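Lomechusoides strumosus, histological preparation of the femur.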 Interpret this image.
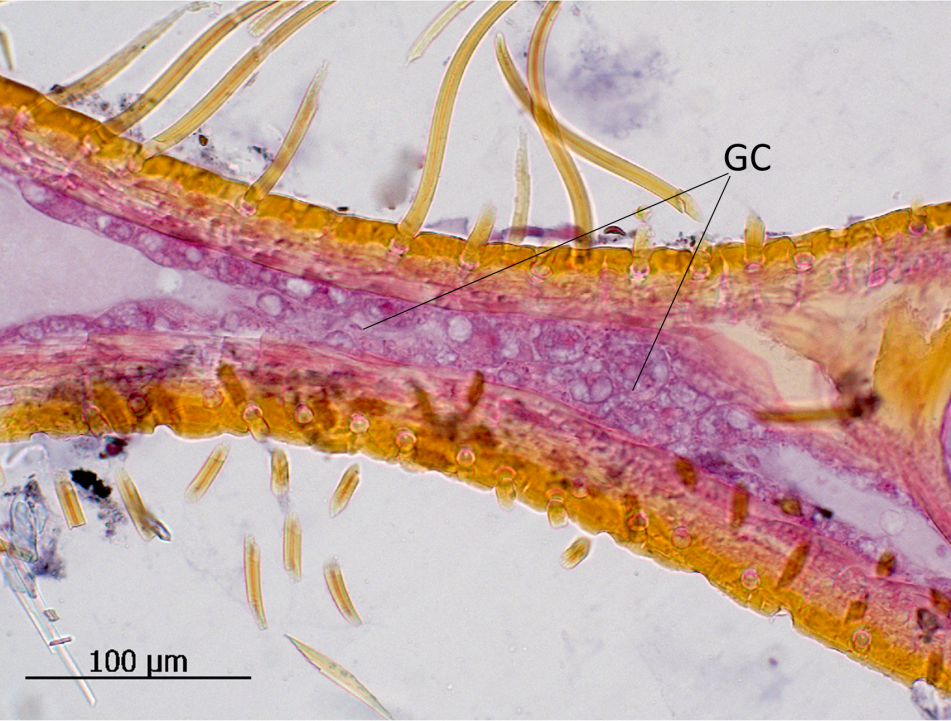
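The cuticle forms two thick orange-yellow bands along the upper and lower edges. Hairs arise from small round sockets on these bands: long curved ones along the upper edge and shorter ones below. Inside the cuticle runs a pink to magenta cellular layer. Within it lie purple-stained glandular cells, packed in a band along the length of the section. Their cytoplasm looks foamy, filled with many small round pale vesicles.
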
